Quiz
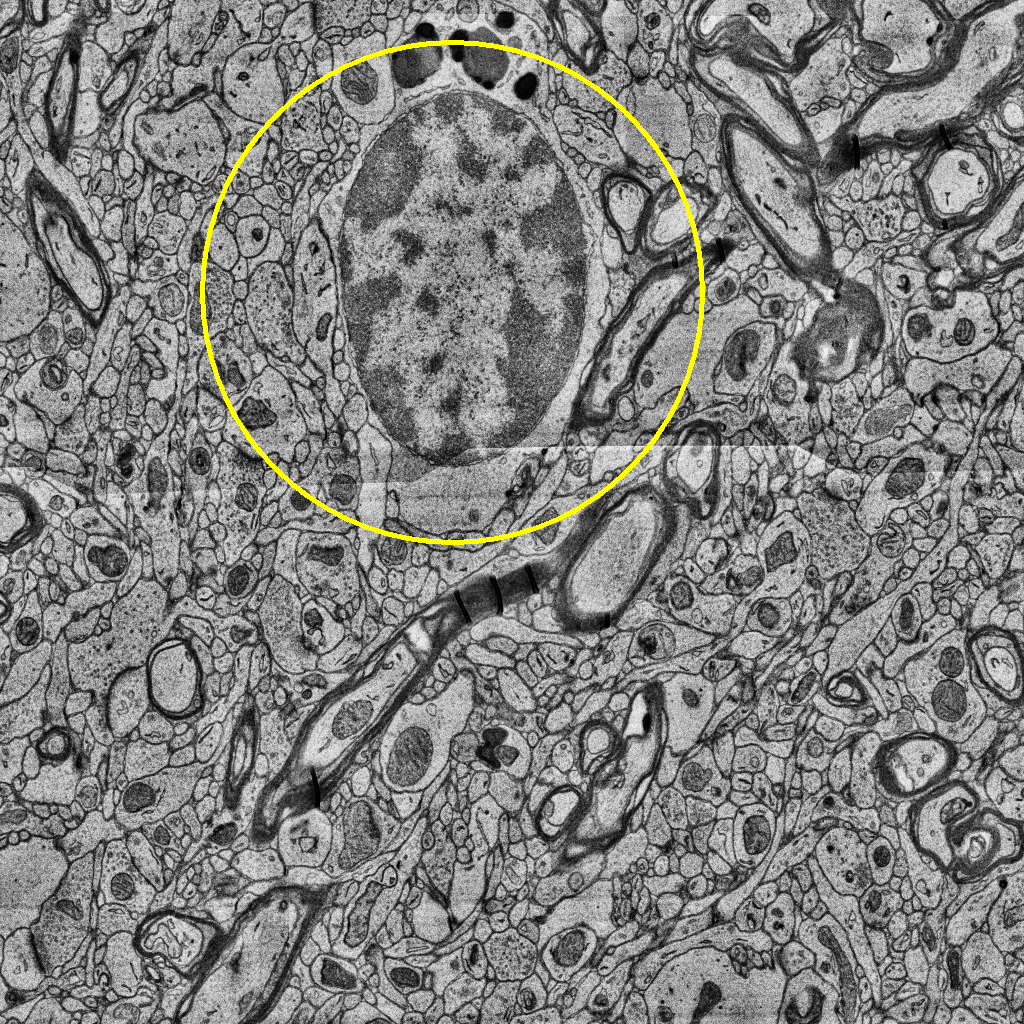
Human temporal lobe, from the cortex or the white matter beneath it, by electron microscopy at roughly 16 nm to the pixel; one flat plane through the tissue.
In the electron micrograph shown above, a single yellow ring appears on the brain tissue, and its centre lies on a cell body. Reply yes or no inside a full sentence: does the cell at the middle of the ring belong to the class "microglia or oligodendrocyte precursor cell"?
Yes, the cell lying at the ring's centre in the picture belongs to that class.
